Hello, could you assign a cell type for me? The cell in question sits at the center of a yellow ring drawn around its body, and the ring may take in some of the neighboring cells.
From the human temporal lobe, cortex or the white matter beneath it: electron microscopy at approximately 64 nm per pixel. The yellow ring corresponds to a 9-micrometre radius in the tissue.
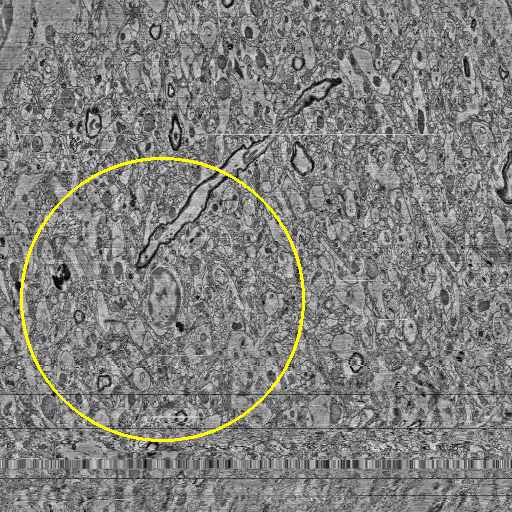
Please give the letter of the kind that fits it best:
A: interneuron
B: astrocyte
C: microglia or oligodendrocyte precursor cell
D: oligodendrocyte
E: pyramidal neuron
C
